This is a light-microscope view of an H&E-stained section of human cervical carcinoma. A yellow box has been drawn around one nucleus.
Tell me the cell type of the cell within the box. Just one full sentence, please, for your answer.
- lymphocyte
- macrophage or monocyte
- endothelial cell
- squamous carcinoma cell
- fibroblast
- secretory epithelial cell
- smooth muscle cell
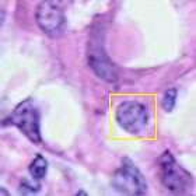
In short, the cell within the box on this section is a macrophage or monocyte.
